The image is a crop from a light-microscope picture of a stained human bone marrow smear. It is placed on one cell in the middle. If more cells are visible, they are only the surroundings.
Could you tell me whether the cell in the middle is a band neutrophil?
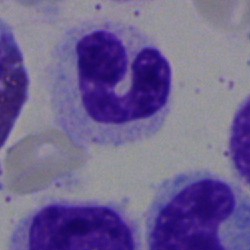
no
